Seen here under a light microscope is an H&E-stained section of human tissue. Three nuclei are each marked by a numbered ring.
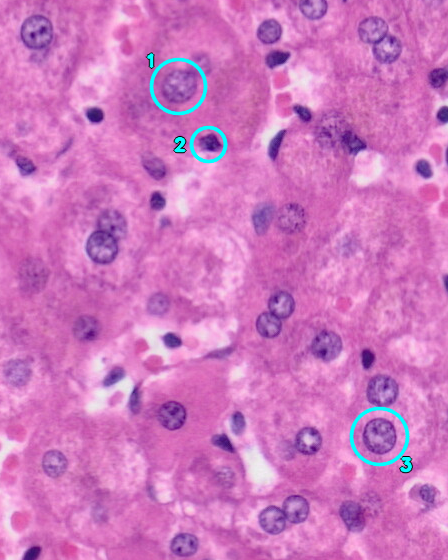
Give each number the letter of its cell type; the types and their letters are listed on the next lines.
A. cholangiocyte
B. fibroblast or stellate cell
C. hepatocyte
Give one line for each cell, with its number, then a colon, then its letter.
1: C
2: B
3: C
